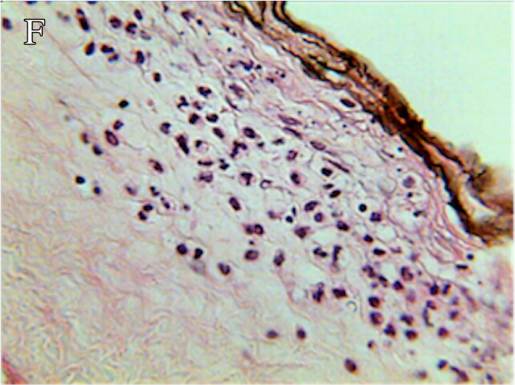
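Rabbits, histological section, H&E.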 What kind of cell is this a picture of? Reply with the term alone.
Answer: Neutrophils.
